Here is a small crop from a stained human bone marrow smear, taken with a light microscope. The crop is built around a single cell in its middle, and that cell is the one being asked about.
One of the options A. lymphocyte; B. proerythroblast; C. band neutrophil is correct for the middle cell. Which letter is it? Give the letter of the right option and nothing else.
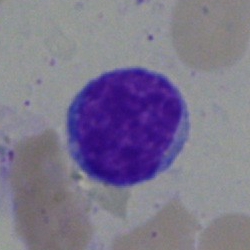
A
